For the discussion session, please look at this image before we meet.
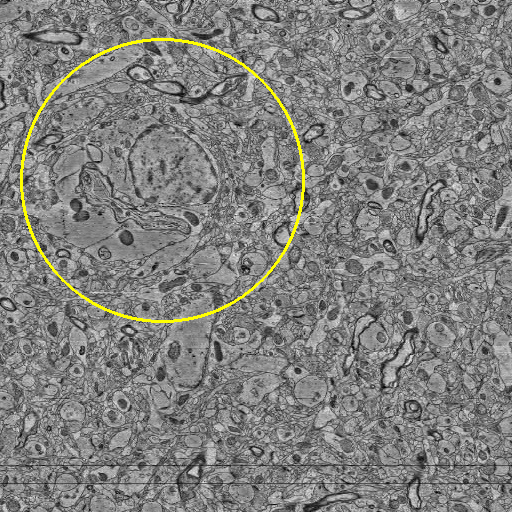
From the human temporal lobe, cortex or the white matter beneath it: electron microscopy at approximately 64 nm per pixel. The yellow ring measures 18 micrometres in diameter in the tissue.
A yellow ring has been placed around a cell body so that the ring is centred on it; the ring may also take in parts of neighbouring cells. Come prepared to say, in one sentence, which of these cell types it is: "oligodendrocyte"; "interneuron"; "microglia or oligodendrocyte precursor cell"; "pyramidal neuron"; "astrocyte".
The cell centred in the ring is a microglial cell or oligodendrocyte precursor cell.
